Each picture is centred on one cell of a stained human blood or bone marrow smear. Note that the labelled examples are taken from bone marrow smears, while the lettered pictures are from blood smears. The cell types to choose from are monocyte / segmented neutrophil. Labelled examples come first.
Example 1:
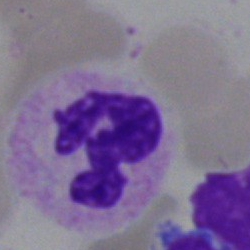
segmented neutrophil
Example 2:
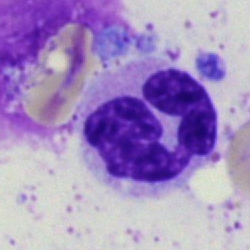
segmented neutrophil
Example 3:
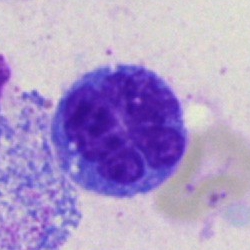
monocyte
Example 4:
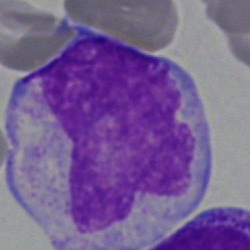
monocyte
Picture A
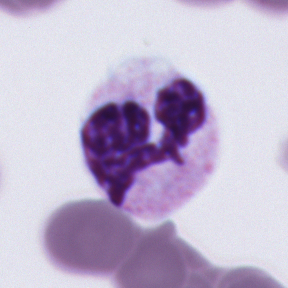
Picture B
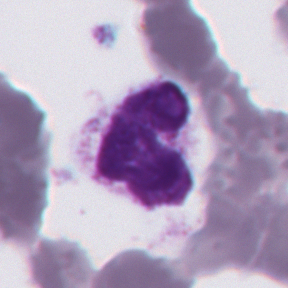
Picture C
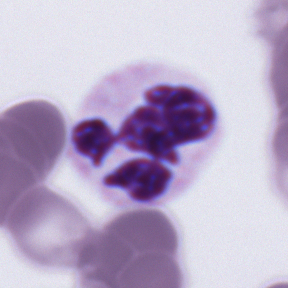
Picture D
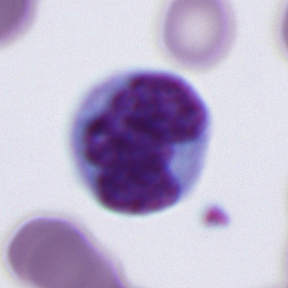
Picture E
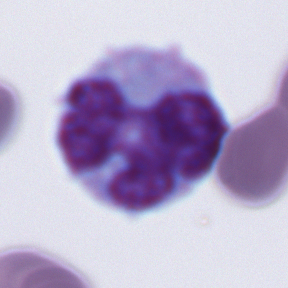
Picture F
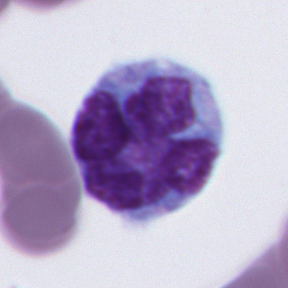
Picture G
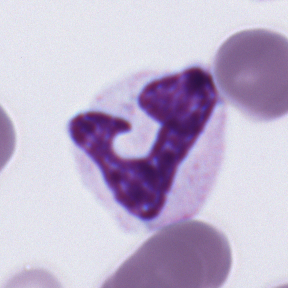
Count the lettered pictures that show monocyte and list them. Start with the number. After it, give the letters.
3, namely D, E, F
